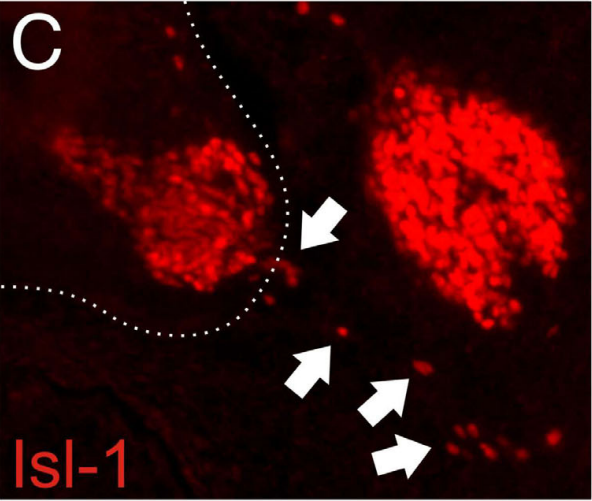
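This fluorescence image shows the ventral spinal cord with dense clusters of motoneuron nuclei in red. A dotted line traces the edge of the cord, and one cluster of nuclei lies pressed against this border. Outside the cord, single small red nuclei lie in a line leading away along the path of the ventral root. A second, larger cluster of tightly packed nuclei lies to the right.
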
